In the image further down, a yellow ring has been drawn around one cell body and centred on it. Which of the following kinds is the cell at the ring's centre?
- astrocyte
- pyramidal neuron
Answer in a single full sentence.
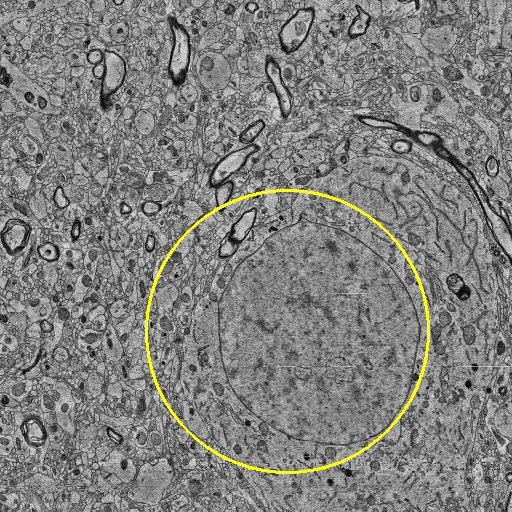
In the picture, the cell sitting at the centre of the yellow ring is a pyramidal neuron.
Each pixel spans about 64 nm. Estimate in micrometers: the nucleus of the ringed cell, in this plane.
Roughly 15 by 13 micrometres in this plane, for the nucleus of the ringed cell.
